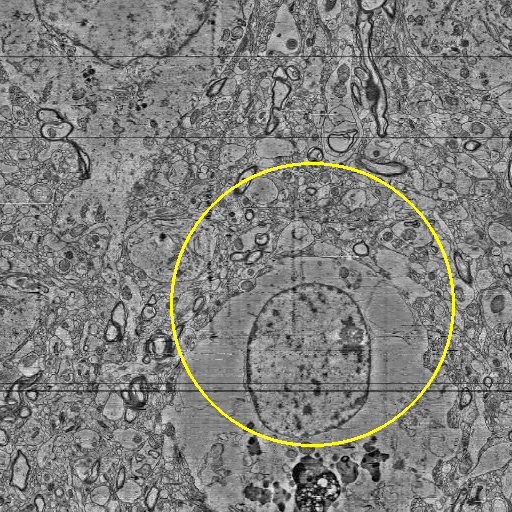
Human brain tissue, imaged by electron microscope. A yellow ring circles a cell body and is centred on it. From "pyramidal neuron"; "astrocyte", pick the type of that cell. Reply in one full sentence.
The cell body at the centre of the yellow ring belongs to an astrocyte.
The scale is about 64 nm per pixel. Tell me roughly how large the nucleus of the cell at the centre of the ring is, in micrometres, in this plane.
Approximately 10 micrometres long and 8 micrometres wide, in this plane.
